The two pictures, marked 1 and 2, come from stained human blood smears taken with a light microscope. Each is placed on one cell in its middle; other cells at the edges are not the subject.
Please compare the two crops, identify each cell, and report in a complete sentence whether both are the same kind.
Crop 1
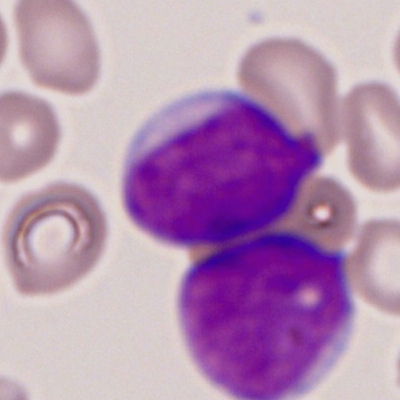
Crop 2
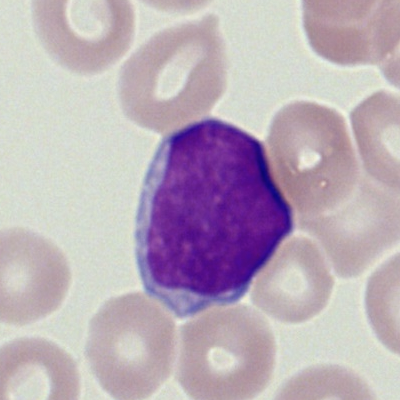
Yes, that is right, both crops show blasts.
